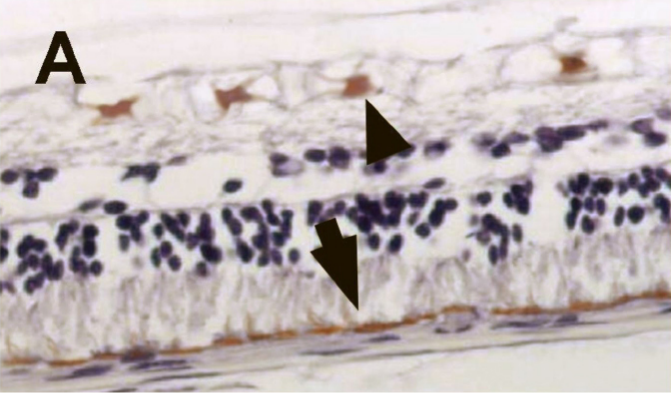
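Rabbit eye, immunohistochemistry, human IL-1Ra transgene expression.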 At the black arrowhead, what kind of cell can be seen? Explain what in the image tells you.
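Retinal ganglion cells. Scattered large cells with brown-stained cytoplasm lie in the innermost layer of the layered tissue. These cells sit above rows of dark-blue nuclei.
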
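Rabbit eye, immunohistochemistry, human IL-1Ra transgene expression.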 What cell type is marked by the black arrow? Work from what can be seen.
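Retinal pigment epithelial cells. A thin brown-stained band runs at the outer edge of the pale striated layer. The band lies between the striated layer and a tissue with elongated nuclei.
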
